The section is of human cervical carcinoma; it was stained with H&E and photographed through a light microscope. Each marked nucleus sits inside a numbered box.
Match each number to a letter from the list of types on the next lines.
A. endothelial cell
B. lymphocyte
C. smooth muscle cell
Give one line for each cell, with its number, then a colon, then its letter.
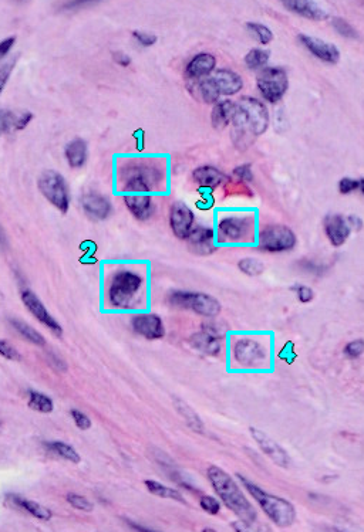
1: A
2: B
3: A
4: C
